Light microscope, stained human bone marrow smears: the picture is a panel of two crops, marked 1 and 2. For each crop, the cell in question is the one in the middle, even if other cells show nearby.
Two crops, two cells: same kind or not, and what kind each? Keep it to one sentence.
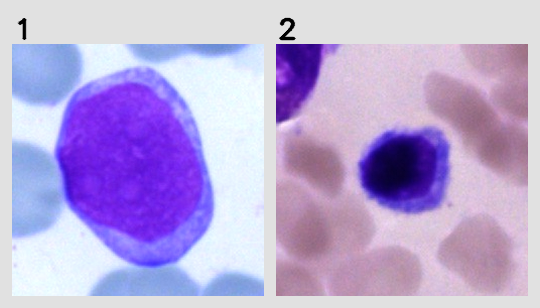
No, enter a blast for crop 1 and a lymphocyte for crop 2.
